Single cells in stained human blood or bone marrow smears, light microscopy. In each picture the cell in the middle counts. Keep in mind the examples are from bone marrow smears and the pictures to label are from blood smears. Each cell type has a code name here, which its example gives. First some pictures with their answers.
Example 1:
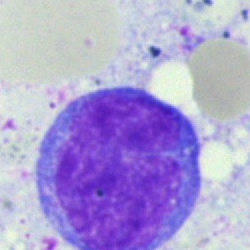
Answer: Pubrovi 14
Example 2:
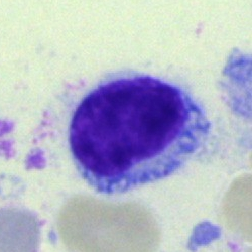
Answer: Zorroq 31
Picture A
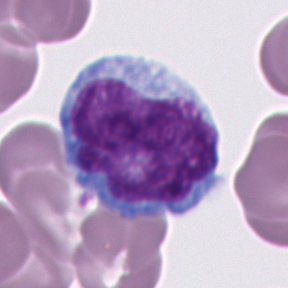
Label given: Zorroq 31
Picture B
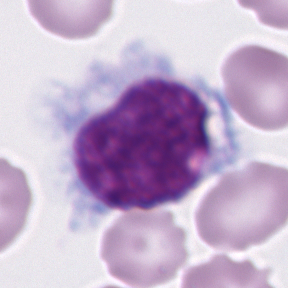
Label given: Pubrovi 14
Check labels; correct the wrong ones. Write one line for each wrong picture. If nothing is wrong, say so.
A: change Zorroq 31 to Pubrovi 14
B: change Pubrovi 14 to Zorroq 31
